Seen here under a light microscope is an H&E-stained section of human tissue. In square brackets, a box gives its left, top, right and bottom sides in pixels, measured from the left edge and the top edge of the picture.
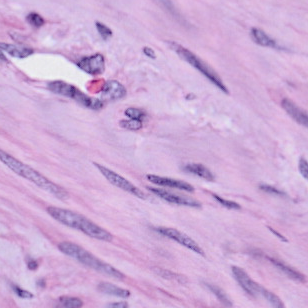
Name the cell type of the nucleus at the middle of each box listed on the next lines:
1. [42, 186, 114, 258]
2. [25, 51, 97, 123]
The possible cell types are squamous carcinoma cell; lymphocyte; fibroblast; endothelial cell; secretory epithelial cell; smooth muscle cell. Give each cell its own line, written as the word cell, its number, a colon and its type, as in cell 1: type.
cell 1: smooth muscle cell
cell 2: endothelial cell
